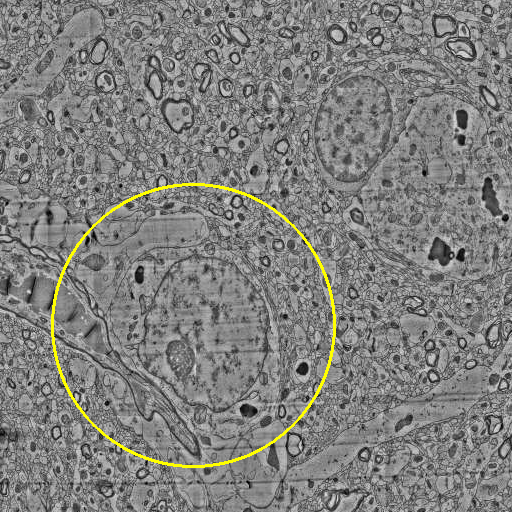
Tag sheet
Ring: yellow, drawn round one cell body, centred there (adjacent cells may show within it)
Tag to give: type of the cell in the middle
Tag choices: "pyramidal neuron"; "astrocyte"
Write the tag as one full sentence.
I tag the cell centred in the yellow ring as a pyramidal neuron in this picture.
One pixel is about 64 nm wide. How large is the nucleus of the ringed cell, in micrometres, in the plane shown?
Roughly 9 micrometres across, measured in this plane.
